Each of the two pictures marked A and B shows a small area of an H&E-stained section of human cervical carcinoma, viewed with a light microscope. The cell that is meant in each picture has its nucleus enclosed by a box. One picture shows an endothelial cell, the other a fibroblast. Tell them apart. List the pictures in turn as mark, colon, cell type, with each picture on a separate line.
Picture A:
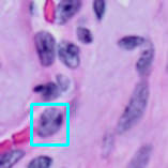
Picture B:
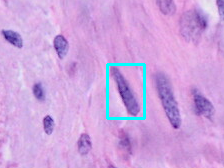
A: endothelial cell
B: fibroblast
